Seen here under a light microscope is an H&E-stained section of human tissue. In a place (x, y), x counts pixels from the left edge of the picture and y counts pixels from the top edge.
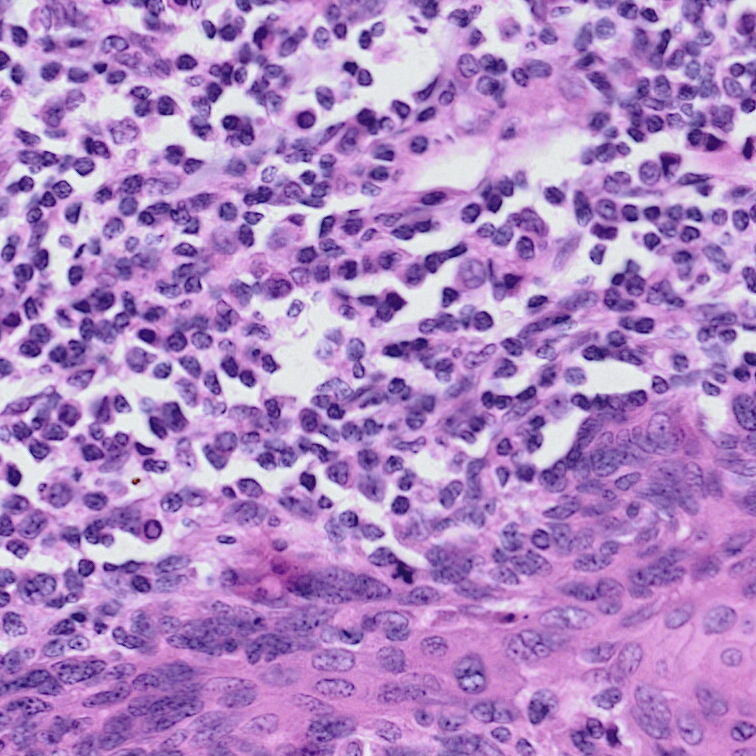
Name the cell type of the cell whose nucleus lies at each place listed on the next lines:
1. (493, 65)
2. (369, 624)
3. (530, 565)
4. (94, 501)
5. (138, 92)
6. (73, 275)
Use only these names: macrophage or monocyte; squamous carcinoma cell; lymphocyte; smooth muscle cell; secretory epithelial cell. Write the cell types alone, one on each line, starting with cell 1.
lymphocyte
squamous carcinoma cell
squamous carcinoma cell
lymphocyte
lymphocyte
lymphocyte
